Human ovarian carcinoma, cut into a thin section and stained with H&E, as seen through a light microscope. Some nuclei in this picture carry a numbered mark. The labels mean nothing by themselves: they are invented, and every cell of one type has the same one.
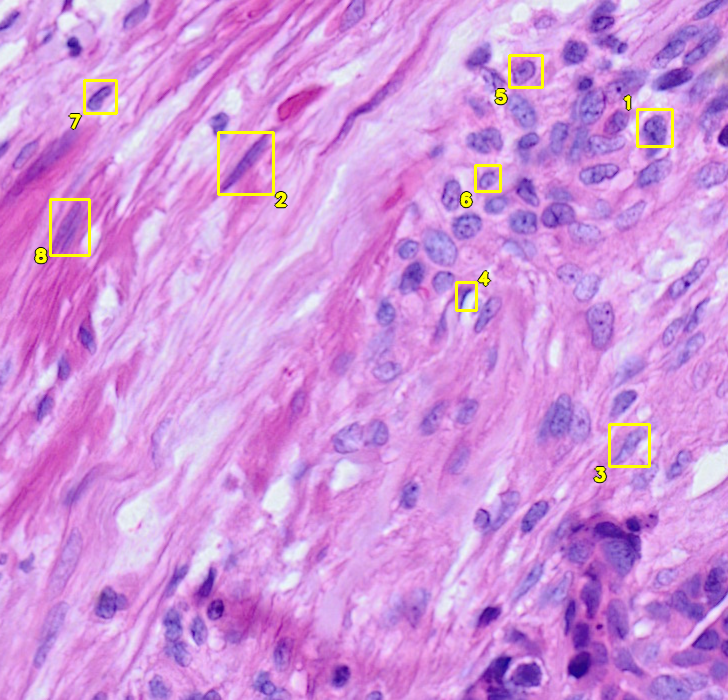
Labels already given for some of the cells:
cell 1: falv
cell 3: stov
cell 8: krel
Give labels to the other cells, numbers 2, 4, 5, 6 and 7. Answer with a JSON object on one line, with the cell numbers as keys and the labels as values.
{"2": "krel", "4": "stov", "5": "falv", "6": "stov", "7": "falv"}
